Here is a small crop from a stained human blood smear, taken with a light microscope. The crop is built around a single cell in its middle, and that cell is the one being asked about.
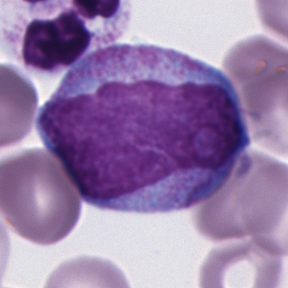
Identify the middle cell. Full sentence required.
Located at the centre of the crop is a promyelocyte.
